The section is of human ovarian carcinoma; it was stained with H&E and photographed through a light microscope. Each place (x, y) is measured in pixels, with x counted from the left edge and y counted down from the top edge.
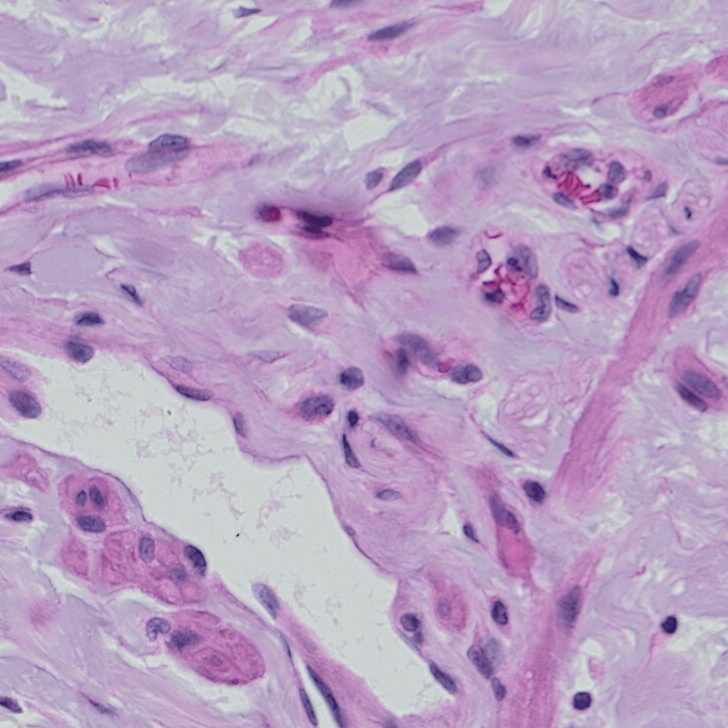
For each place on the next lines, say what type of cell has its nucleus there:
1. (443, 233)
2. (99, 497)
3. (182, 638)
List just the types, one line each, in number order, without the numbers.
fibroblast
smooth muscle cell
smooth muscle cell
